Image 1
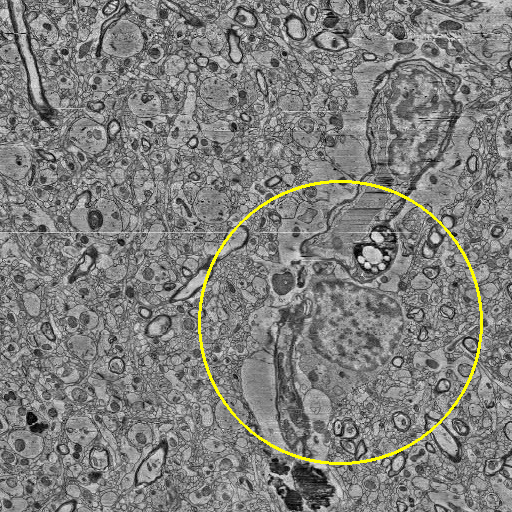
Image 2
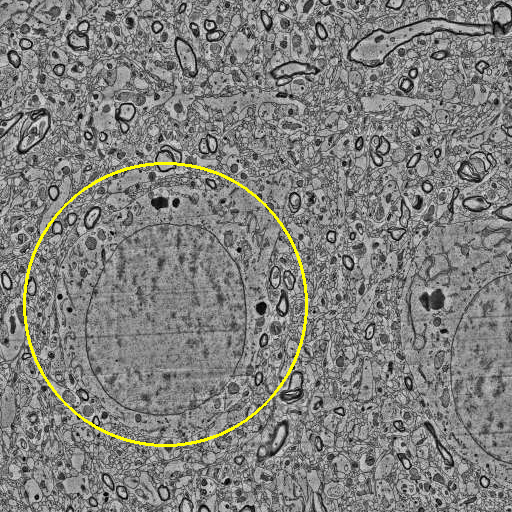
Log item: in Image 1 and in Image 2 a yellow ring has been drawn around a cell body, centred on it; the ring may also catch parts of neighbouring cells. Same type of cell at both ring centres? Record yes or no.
no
